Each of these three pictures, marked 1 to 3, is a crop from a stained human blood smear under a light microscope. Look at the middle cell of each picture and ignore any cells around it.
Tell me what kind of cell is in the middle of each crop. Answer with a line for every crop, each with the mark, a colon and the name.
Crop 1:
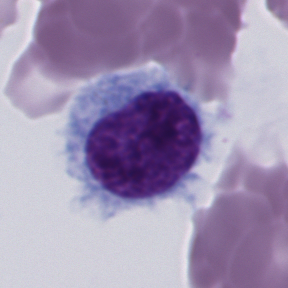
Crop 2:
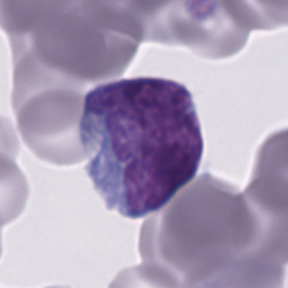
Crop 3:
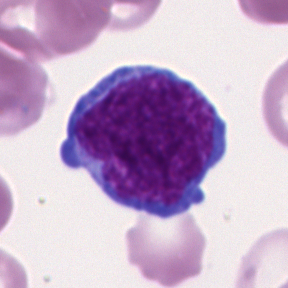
1: hairy cell
2: monocyte
3: myeloblast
